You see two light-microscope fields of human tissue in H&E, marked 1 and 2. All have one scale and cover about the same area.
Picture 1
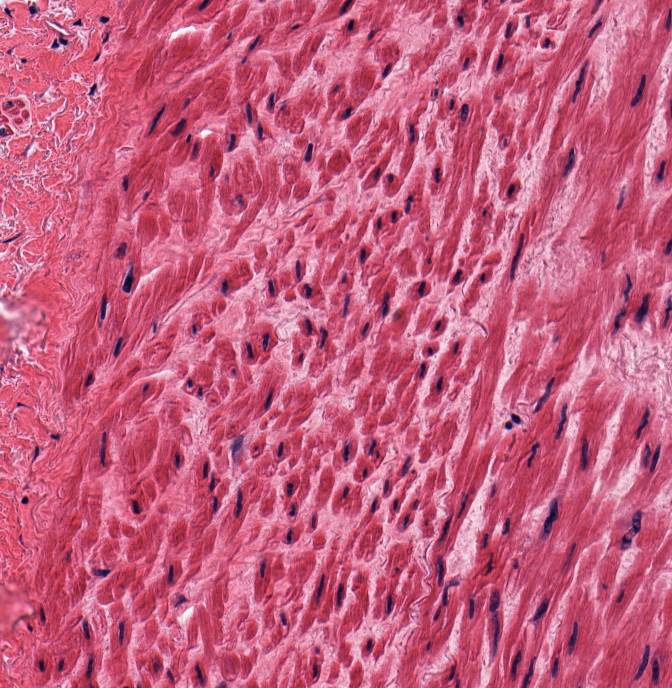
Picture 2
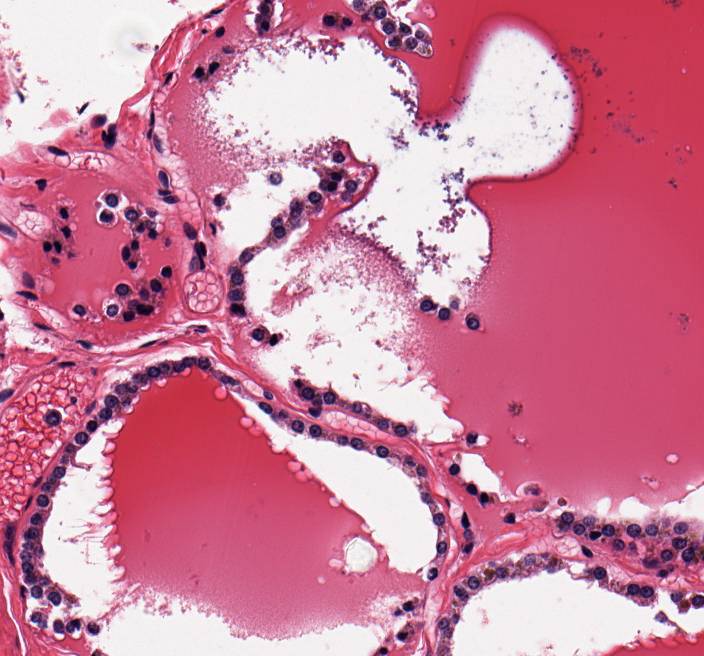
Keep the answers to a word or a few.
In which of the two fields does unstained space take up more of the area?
2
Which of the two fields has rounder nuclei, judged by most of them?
2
